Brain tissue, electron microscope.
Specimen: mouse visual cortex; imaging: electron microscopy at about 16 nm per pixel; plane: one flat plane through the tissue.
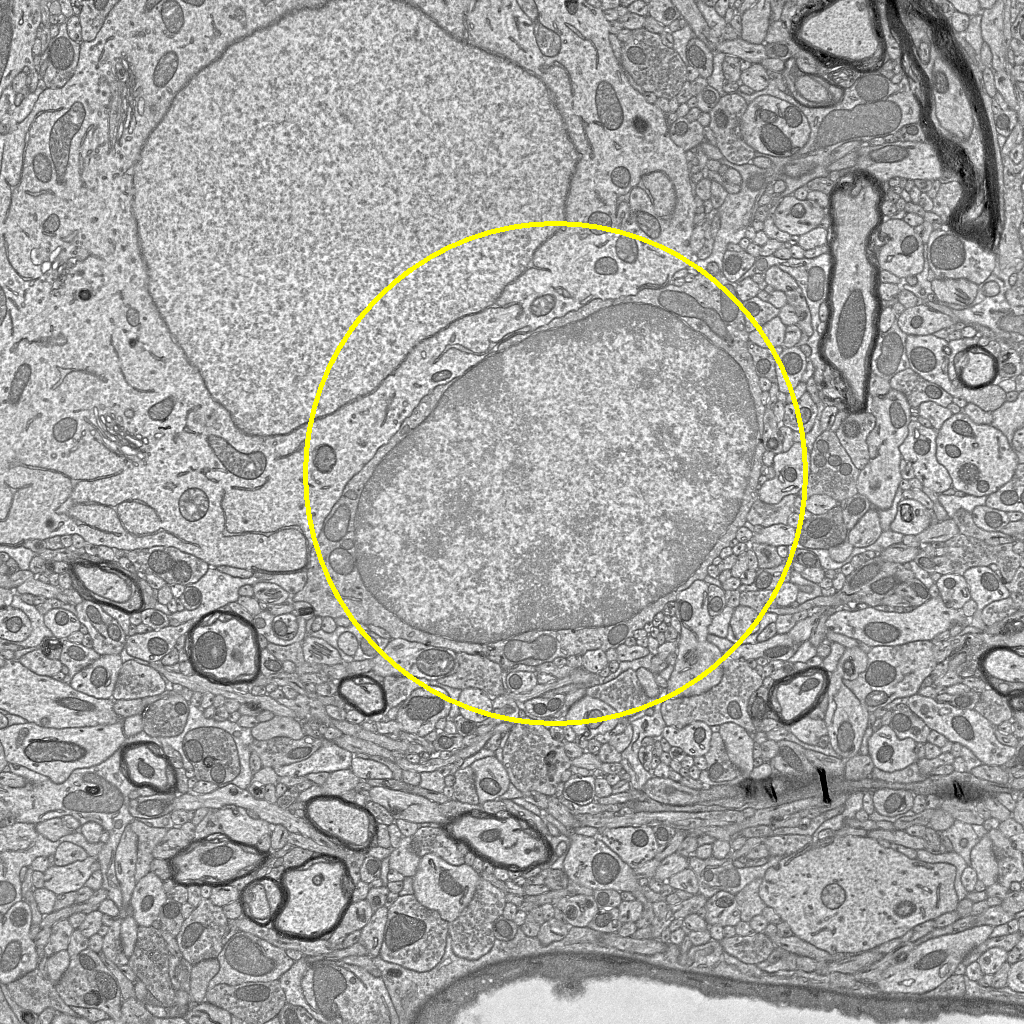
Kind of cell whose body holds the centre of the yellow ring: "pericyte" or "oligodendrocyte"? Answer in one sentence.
The ring's centre falls on an oligodendrocyte.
